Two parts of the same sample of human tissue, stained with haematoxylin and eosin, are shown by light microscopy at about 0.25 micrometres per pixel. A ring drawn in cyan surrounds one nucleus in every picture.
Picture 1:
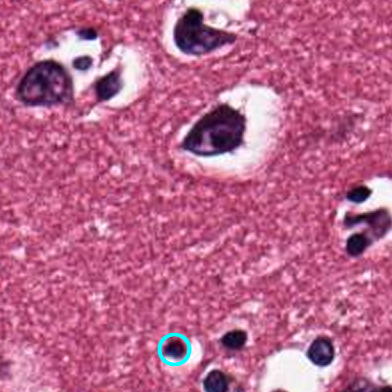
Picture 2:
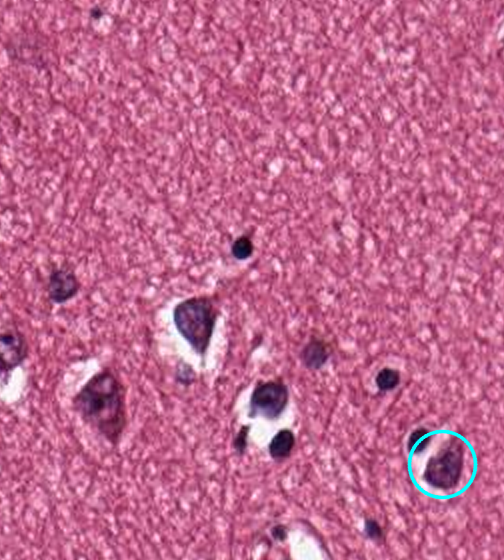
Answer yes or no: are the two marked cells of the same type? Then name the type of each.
No, the first is an oligodendrocyte and the second a neuron.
